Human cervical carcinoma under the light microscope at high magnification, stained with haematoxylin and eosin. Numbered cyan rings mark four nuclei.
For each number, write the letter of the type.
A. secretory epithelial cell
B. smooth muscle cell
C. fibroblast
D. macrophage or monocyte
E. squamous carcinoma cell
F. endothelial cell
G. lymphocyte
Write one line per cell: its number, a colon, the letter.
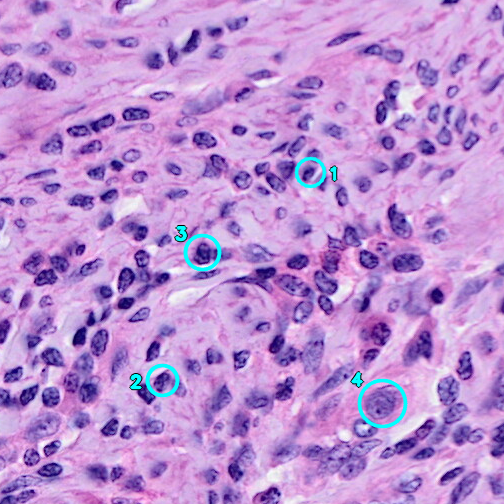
1: G
2: G
3: G
4: F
